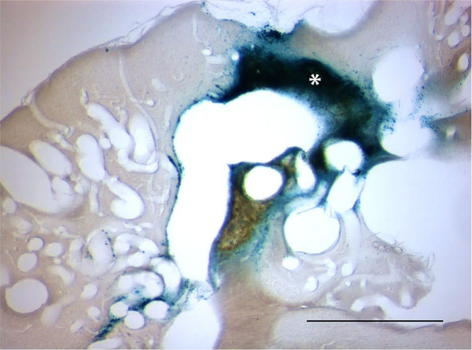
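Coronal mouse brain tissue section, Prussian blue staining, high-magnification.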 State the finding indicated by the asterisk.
Ferric iron deposition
